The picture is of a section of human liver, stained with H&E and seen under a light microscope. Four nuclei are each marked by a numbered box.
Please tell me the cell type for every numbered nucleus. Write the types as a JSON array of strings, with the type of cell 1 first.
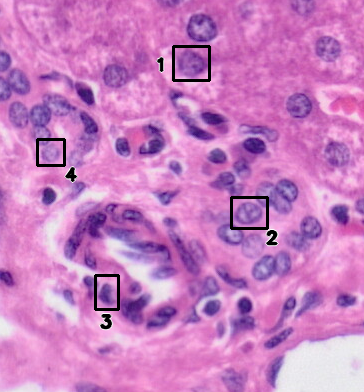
["hepatocyte", "cholangiocyte", "fibroblast or stellate cell", "cholangiocyte"]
